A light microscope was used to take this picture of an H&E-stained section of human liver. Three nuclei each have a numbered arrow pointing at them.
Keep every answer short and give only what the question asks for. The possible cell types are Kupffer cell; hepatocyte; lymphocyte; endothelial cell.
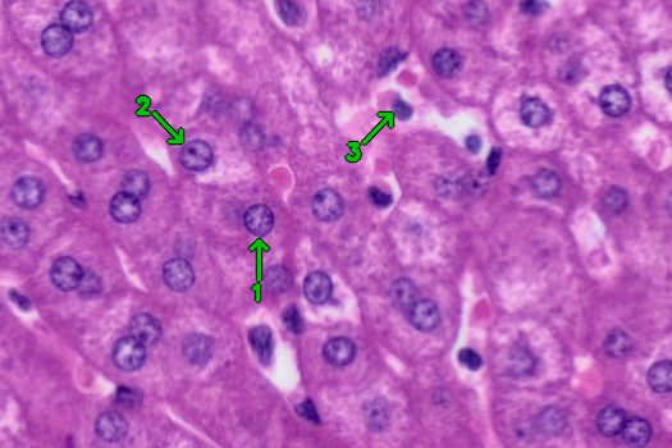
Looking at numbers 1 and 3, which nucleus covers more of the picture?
1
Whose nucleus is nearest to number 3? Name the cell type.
endothelial cell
